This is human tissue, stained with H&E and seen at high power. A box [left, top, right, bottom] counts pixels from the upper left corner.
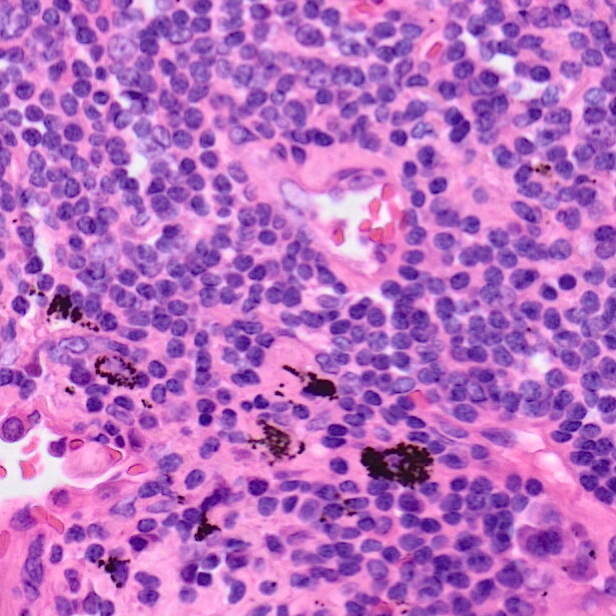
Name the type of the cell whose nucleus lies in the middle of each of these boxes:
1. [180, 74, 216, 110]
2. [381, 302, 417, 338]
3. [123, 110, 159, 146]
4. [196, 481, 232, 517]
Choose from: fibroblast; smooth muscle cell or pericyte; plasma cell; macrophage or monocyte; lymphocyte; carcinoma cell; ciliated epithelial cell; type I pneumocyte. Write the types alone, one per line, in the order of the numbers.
lymphocyte
lymphocyte
lymphocyte
plasma cell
